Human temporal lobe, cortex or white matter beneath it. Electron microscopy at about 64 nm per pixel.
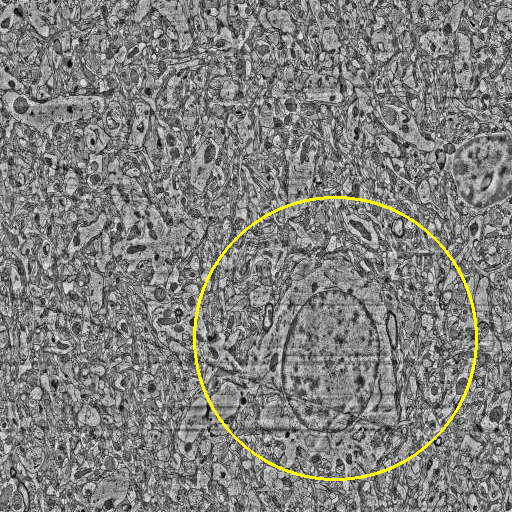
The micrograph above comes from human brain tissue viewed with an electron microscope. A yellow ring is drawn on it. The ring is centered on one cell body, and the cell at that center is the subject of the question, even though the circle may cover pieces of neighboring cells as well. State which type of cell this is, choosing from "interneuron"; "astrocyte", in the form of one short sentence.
The cell the ring is centered on is an astrocyte.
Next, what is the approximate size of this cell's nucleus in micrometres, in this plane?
In this plane, approximately 9 by 6 micrometers.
